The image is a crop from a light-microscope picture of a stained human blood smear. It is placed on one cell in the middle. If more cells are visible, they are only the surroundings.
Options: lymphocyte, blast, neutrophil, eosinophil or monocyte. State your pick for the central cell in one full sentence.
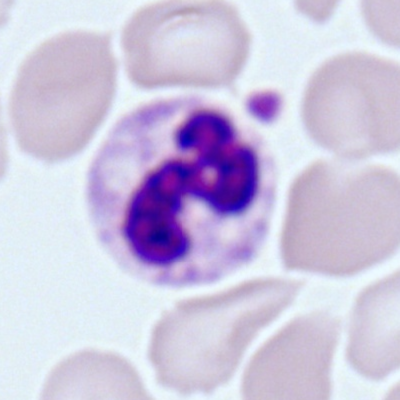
The middle position in this crop is taken by a neutrophil.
